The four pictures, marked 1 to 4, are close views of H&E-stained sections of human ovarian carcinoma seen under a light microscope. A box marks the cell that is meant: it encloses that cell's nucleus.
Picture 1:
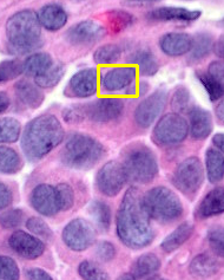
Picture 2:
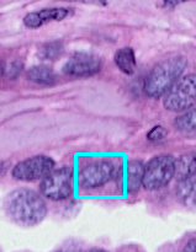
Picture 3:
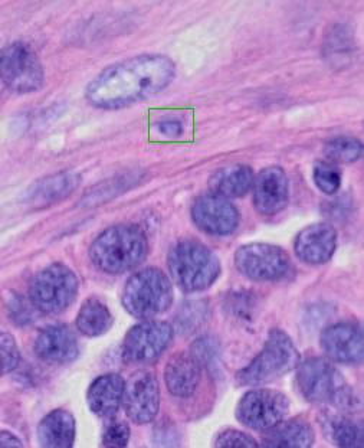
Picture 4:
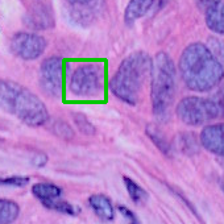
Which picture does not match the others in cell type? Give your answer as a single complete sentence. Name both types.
Unlike the rest, which show carcinoma cells, picture 3 shows a “macrophage or monocyte”.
